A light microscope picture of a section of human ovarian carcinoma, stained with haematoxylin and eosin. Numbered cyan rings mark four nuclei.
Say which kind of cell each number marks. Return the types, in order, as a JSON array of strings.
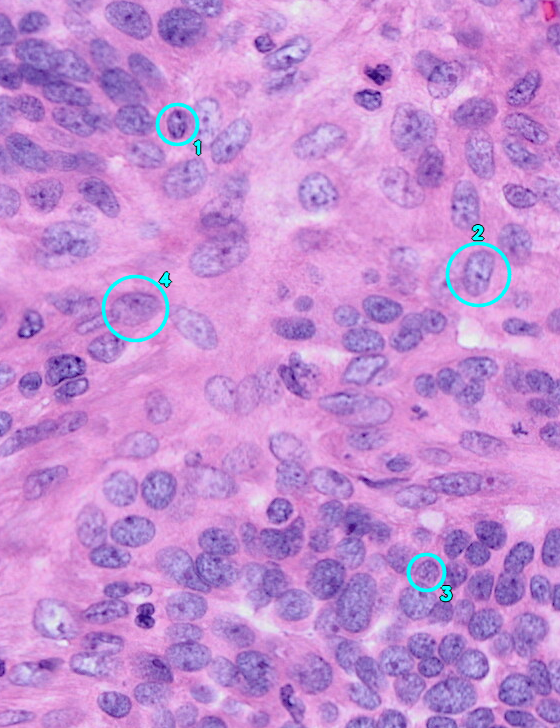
["macrophage or monocyte", "fibroblast", "carcinoma cell", "fibroblast"]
